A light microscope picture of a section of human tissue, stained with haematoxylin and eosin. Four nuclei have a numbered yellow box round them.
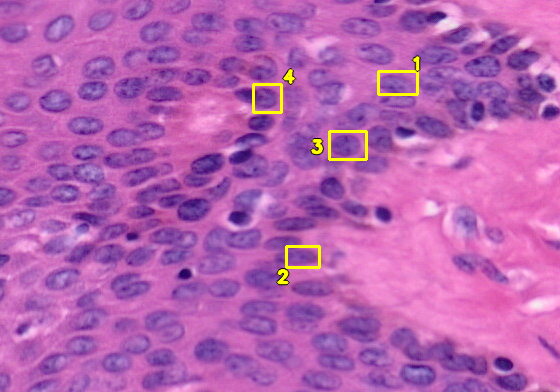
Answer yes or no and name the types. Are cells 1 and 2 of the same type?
No, just to clarify, cell 1 is a suprabasal keratinocyte and cell 2 is a basal keratinocyte.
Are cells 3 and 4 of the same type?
Yes, in short, cells 3 and 4 are both basal keratinocytes.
